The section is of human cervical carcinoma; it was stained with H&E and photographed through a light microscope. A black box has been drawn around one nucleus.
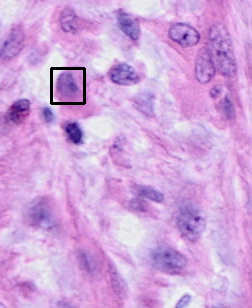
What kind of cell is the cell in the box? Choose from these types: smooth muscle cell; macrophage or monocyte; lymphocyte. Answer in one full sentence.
As to its cell type, the cell in the box is a macrophage or monocyte.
